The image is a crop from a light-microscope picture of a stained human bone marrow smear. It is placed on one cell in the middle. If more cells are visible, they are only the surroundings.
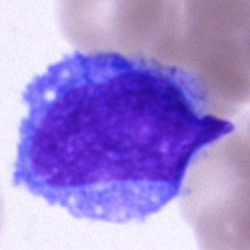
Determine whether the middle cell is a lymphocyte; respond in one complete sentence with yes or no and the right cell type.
No; rather than a lymphocyte, the cell at the center is a blast.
